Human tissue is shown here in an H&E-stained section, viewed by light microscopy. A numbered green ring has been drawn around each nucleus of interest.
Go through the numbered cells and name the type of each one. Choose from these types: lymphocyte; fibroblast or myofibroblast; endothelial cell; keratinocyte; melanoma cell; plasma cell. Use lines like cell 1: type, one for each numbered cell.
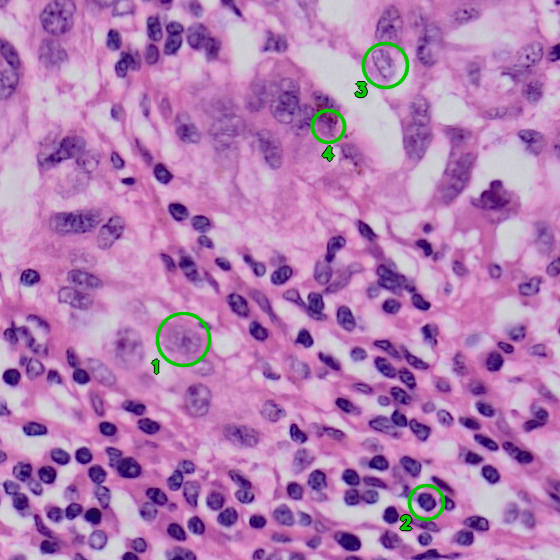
cell 1: melanoma cell
cell 2: lymphocyte
cell 3: melanoma cell
cell 4: melanoma cell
